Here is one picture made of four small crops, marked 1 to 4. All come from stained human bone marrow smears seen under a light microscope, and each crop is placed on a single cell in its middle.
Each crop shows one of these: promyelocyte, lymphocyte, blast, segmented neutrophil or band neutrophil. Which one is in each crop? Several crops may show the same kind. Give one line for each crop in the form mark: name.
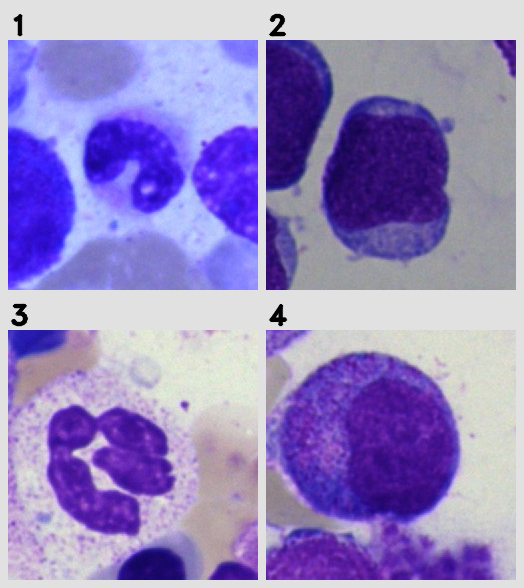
1: band neutrophil
2: blast
3: segmented neutrophil
4: promyelocyte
